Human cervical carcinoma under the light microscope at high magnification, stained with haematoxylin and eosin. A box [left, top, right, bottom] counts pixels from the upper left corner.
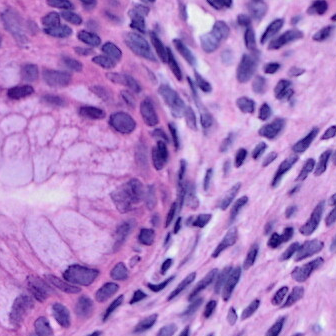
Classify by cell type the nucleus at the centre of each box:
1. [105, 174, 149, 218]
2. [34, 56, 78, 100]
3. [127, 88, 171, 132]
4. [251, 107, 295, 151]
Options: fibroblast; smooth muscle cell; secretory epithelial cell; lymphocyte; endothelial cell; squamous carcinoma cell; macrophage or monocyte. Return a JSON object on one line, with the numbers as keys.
{"1": "secretory epithelial cell", "2": "secretory epithelial cell", "3": "secretory epithelial cell", "4": "fibroblast"}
